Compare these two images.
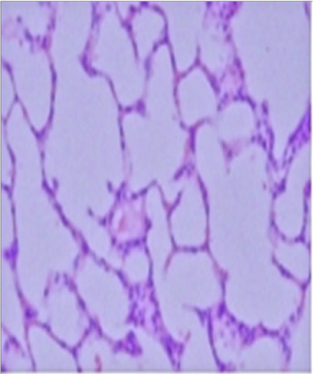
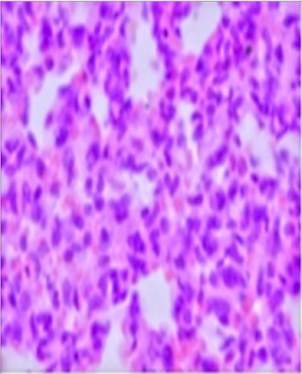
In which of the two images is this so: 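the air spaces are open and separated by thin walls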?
The first image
